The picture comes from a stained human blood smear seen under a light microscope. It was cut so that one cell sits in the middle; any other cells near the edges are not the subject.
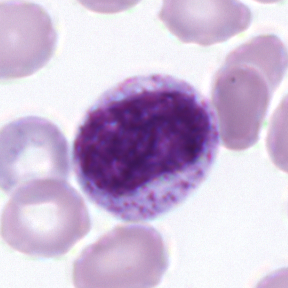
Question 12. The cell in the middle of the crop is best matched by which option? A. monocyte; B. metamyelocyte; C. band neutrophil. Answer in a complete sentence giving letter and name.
The cell in the middle is a metamyelocyte, and that makes option B correct.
